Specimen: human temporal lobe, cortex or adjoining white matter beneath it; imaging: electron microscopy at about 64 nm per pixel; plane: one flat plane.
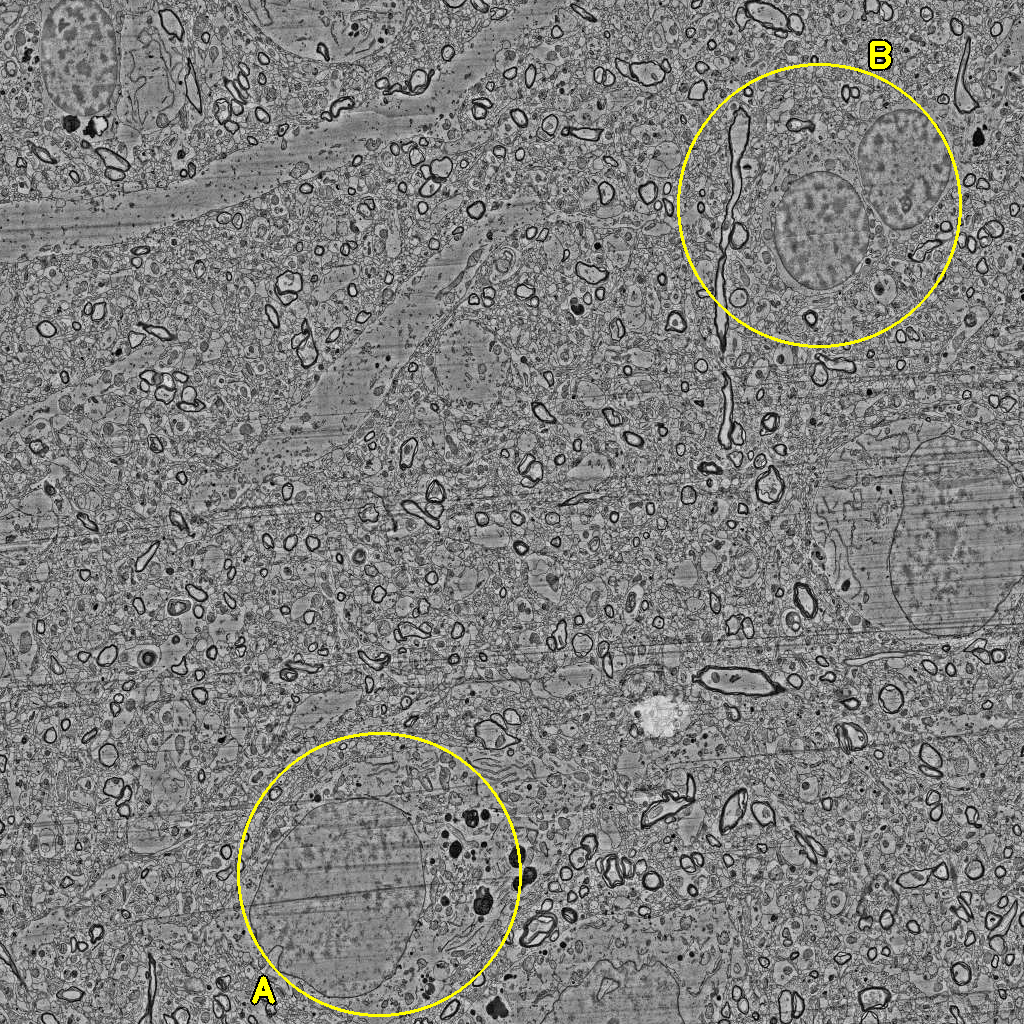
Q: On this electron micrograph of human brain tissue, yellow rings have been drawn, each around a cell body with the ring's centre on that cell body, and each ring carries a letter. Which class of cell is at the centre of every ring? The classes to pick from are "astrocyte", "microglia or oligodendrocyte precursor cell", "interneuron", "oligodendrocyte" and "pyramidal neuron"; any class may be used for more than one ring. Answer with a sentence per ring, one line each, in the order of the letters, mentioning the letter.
The centre of ring A is occupied by an interneuron.
The centre of ring B is occupied by an oligodendrocyte.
